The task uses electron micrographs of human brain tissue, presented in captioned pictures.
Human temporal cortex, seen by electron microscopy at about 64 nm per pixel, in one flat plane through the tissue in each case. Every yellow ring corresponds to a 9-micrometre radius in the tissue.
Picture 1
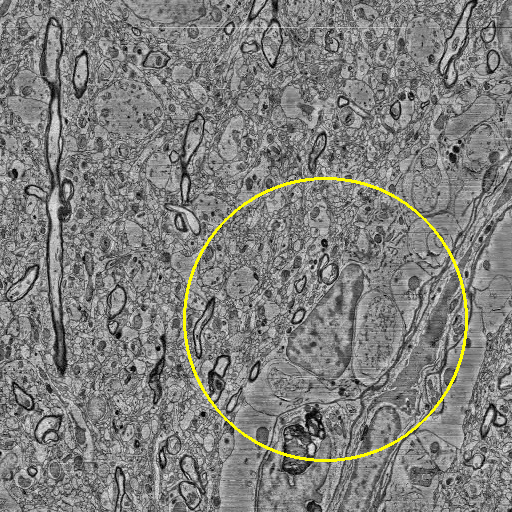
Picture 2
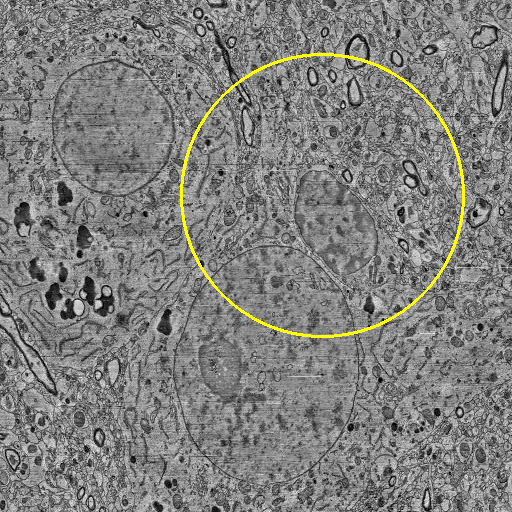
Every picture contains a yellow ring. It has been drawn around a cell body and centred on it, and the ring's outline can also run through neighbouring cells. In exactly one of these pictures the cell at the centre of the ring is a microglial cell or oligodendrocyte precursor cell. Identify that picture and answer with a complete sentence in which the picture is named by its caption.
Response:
The ring in Picture 1 is centred on that kind of cell.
